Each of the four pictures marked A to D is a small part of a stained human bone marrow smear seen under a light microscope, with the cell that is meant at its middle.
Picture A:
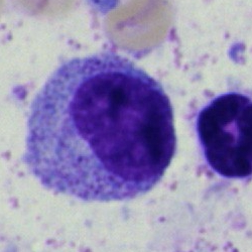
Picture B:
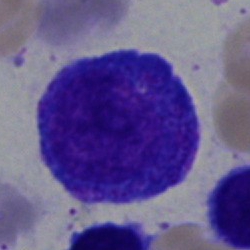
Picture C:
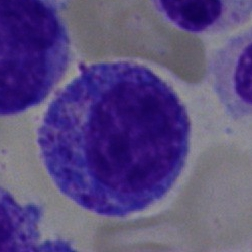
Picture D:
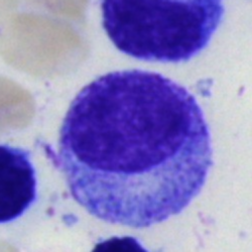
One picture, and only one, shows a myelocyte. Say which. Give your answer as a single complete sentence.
The myelocyte is the one in picture A.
